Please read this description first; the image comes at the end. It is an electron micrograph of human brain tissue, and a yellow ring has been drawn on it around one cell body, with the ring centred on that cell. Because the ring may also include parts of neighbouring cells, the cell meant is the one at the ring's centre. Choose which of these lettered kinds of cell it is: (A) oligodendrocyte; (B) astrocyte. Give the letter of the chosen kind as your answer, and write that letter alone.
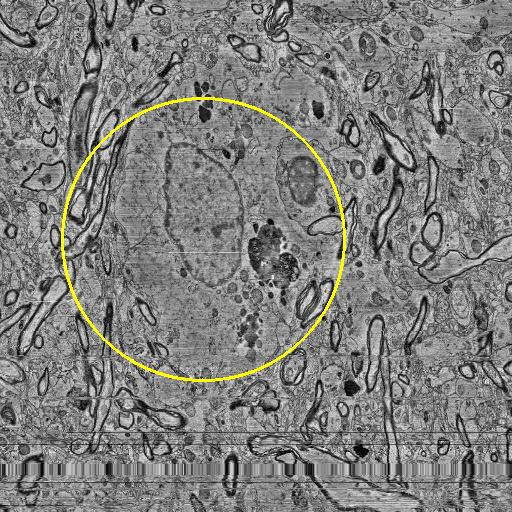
B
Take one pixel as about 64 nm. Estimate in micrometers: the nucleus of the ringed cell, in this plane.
The nucleus measures about 10 by 5 micrometres, so it is clearly longer than it is wide in this plane.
